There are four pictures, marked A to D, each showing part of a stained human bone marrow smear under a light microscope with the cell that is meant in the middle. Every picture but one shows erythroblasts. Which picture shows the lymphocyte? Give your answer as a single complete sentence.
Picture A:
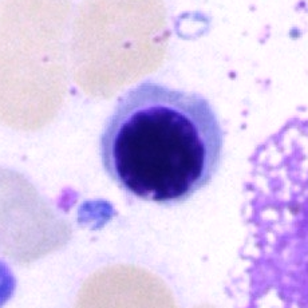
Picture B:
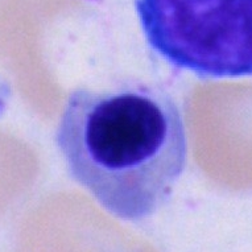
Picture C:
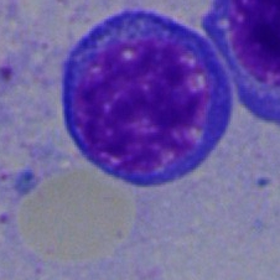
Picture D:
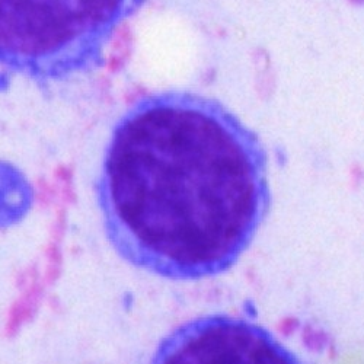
The picture with the lymphocyte is D.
